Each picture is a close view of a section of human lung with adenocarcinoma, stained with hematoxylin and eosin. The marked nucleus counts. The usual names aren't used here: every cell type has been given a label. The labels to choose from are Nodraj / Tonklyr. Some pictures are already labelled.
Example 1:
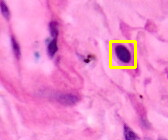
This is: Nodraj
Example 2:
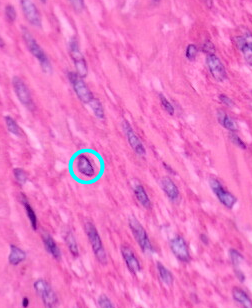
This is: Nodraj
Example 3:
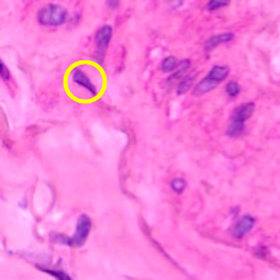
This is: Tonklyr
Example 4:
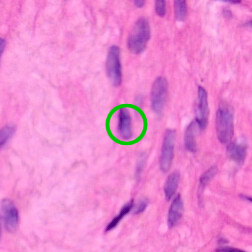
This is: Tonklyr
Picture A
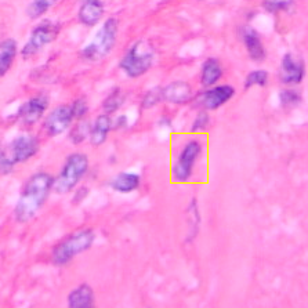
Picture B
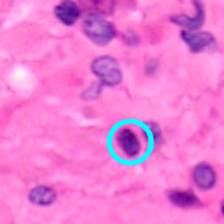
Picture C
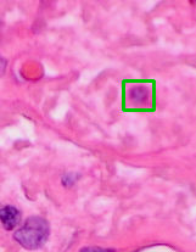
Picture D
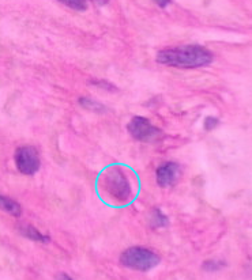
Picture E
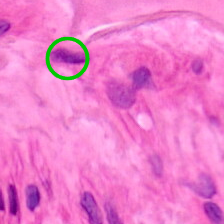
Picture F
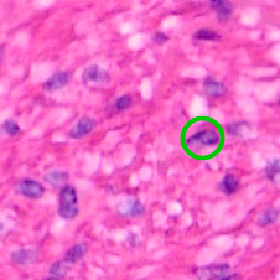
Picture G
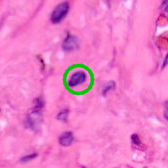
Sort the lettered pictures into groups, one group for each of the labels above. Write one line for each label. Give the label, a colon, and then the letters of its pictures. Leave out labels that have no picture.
Nodraj: A, B, C, F, G
Tonklyr: D, E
